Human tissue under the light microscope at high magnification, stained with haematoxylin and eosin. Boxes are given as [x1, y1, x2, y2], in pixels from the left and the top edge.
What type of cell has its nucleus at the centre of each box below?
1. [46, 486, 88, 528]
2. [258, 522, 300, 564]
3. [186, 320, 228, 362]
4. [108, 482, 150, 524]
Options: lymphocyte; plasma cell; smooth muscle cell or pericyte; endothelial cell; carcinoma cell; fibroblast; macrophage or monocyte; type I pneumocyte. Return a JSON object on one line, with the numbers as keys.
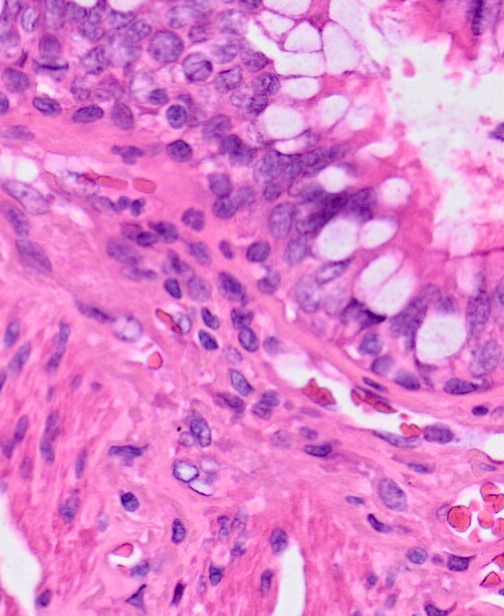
{"1": "smooth muscle cell or pericyte", "2": "smooth muscle cell or pericyte", "3": "lymphocyte", "4": "lymphocyte"}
